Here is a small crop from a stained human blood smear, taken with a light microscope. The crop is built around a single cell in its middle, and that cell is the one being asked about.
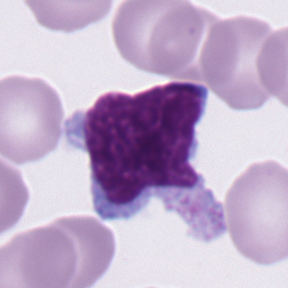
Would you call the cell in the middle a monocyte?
no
